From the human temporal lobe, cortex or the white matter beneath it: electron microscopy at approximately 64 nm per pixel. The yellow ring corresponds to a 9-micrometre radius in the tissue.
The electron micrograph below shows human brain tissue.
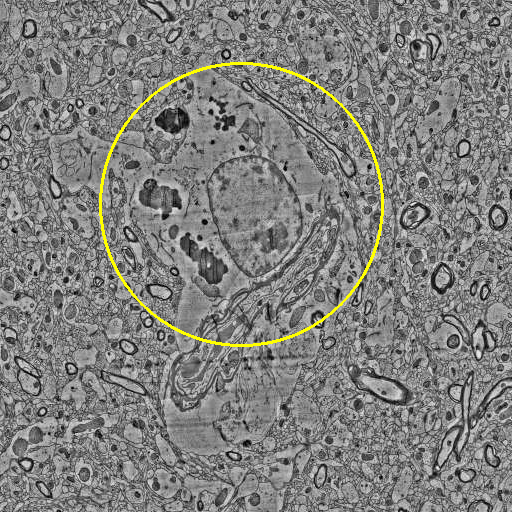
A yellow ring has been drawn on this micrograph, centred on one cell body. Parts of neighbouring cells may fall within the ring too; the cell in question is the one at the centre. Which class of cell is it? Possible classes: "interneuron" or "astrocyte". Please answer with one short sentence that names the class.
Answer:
In the centre of the ring sits an astrocyte.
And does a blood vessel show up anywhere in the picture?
Yes, one is visible.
